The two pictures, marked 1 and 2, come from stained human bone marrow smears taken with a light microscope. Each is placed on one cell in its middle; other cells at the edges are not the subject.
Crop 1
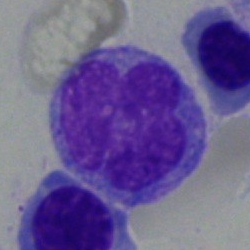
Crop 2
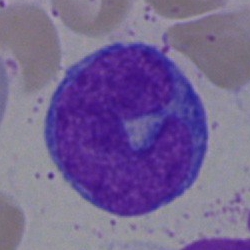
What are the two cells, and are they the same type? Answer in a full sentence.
Yes, the pair of crops both show monocytes.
